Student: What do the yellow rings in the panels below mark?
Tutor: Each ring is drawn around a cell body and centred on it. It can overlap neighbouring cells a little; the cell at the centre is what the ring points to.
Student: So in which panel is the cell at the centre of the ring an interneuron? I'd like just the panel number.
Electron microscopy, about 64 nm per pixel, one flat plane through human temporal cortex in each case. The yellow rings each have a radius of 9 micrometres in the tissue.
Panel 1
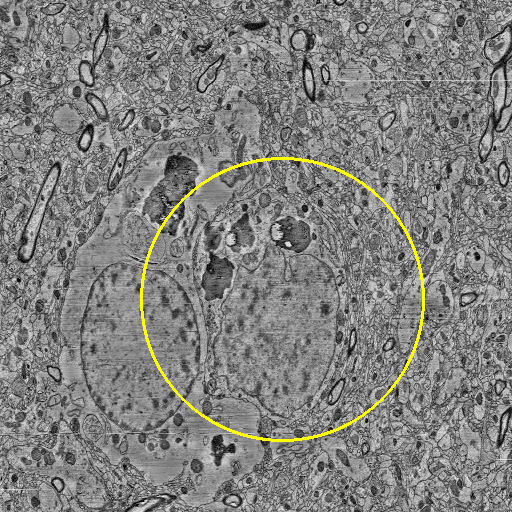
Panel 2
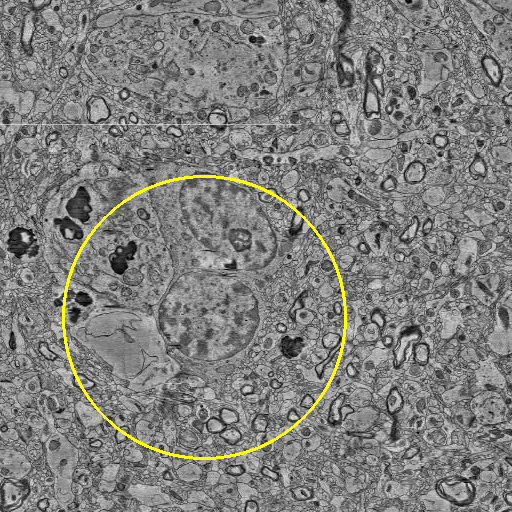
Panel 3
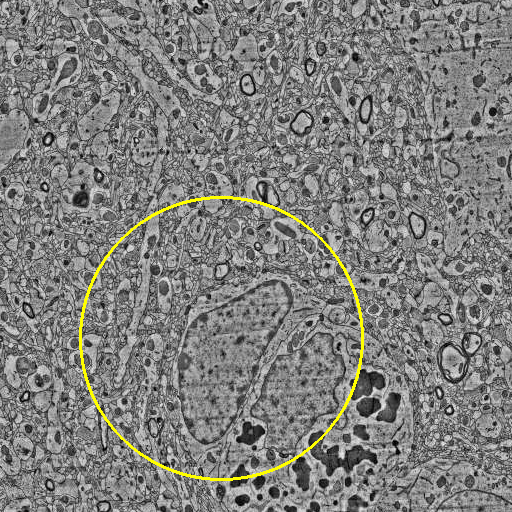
1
